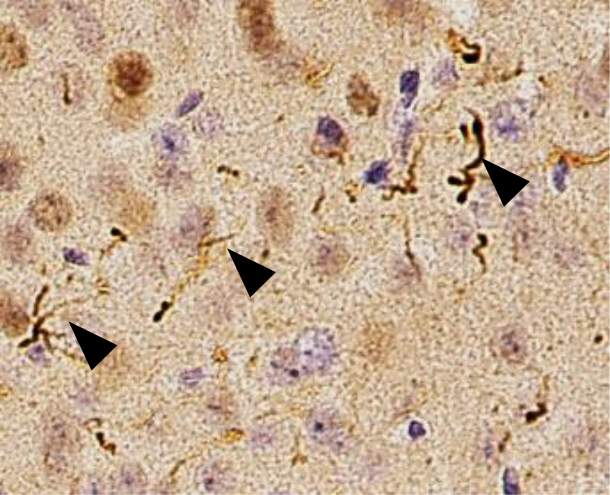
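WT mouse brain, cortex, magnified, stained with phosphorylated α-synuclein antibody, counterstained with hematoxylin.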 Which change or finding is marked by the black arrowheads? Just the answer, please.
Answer: Deposits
